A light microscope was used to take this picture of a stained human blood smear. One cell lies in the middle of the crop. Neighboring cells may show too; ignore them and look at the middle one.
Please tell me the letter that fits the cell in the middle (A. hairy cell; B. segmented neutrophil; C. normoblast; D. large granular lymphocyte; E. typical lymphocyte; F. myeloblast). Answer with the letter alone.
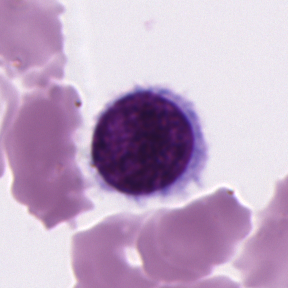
A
